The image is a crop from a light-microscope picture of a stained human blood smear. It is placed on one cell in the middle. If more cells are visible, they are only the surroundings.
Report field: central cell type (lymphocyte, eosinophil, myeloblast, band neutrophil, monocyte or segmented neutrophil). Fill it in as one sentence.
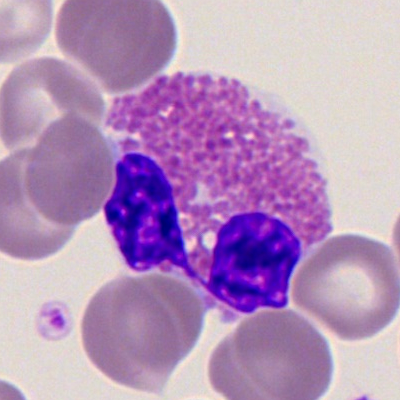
The identification for the central cell is an eosinophil.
